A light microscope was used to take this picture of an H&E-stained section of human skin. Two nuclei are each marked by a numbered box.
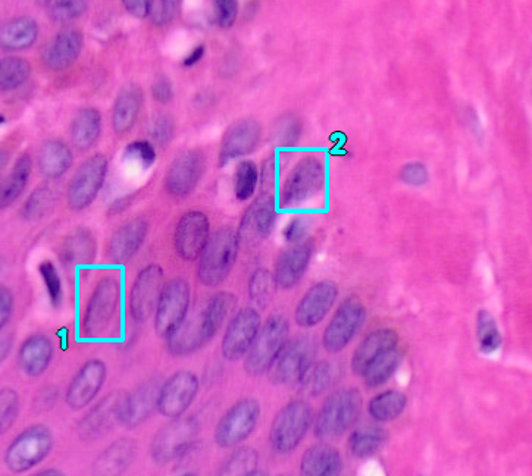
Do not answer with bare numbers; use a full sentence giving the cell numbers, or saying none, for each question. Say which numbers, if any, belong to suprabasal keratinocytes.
Nothing but cell 1 is a suprabasal keratinocyte among the numbered ones.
